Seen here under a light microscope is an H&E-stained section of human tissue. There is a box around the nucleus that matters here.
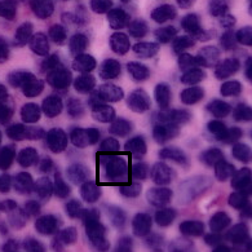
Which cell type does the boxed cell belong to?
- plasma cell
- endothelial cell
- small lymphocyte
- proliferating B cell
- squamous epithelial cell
small lymphocyte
